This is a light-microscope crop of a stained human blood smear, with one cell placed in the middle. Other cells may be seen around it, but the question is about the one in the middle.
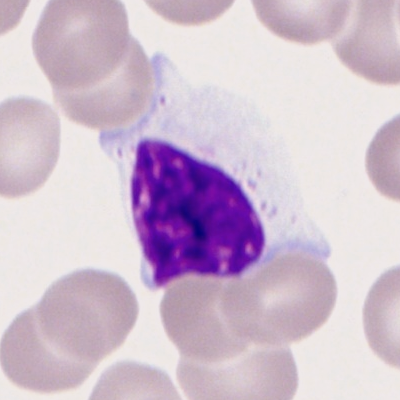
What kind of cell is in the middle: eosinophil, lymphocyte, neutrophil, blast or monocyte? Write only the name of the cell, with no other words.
lymphocyte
